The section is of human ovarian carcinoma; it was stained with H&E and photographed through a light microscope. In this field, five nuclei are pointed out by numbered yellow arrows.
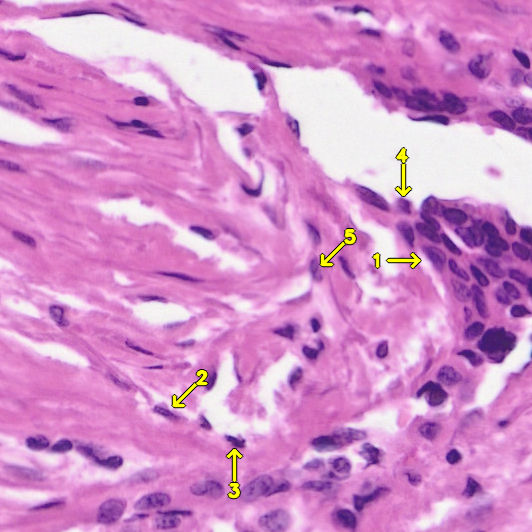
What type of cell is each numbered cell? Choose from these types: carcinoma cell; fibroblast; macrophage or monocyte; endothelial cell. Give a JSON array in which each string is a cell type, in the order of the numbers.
["carcinoma cell", "fibroblast", "fibroblast", "carcinoma cell", "fibroblast"]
